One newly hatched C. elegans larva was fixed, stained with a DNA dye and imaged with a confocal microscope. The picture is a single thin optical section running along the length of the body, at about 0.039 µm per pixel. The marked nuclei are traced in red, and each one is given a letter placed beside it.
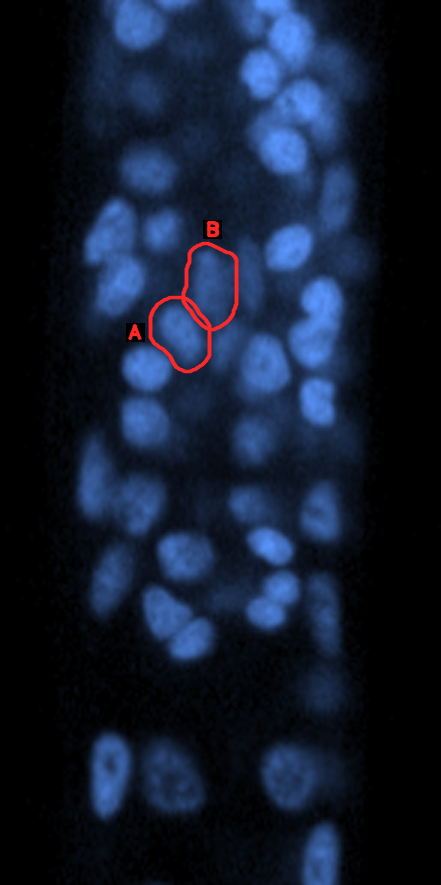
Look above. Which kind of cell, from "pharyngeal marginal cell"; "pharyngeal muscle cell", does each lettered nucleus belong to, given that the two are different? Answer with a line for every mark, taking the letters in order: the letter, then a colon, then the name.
A: pharyngeal muscle cell
B: pharyngeal marginal cell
